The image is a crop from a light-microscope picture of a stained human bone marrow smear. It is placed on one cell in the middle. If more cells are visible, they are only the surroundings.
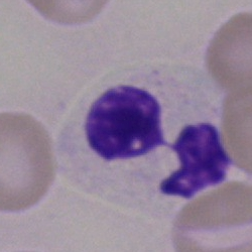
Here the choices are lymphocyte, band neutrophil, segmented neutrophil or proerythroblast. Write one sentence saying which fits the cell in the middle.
For this crop, the central cell is a segmented neutrophil.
